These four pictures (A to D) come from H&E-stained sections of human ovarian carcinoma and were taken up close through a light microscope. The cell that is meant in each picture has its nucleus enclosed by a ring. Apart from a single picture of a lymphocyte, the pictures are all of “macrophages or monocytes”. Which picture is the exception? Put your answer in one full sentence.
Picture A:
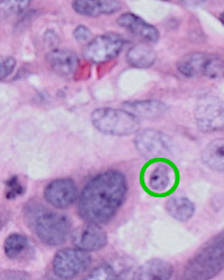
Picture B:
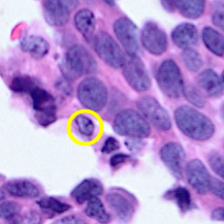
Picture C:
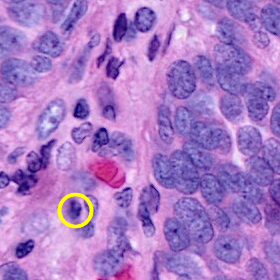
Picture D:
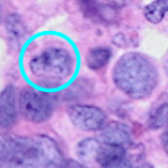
It is picture C that shows the lymphocyte.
